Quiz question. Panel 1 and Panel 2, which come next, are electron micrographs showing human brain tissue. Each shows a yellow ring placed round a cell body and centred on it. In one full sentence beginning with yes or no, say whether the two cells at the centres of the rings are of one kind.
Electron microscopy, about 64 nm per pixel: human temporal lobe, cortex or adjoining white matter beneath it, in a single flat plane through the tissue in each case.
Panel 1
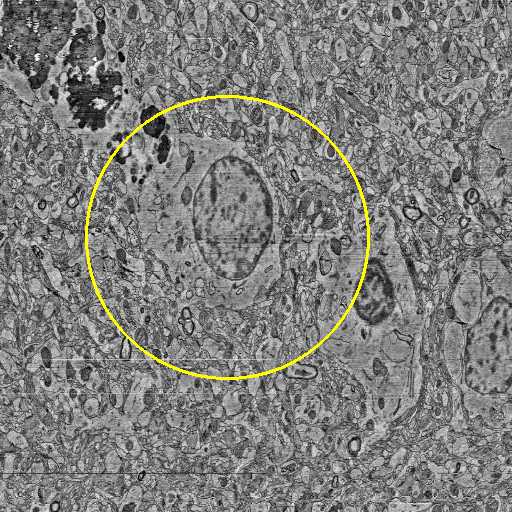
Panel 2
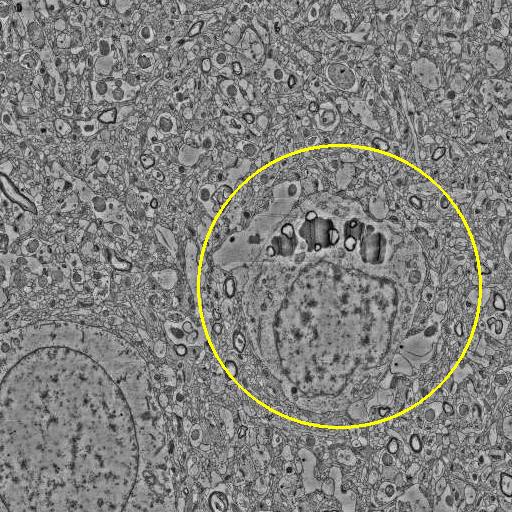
No, Panel 1 and Panel 2 show two kinds of cell at the centre of the ring.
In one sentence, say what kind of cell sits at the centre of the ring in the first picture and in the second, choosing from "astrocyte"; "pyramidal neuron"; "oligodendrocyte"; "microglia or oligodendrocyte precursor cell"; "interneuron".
The first picture's ringed cell is an astrocyte, while the second picture's is an interneuron.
